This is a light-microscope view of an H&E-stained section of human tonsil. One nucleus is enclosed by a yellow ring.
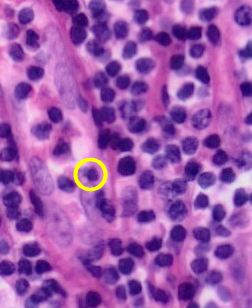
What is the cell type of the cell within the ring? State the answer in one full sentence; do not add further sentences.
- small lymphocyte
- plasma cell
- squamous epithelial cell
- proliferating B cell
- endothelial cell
Right, so the cell within the ring is an endothelial cell, to answer that.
